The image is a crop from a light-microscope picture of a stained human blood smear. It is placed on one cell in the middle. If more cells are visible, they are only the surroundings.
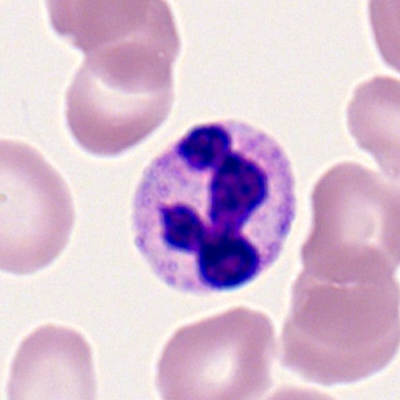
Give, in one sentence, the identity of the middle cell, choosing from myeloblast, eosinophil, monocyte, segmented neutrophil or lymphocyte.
The cell shown in the center of this light-microscope crop is a segmented neutrophil.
